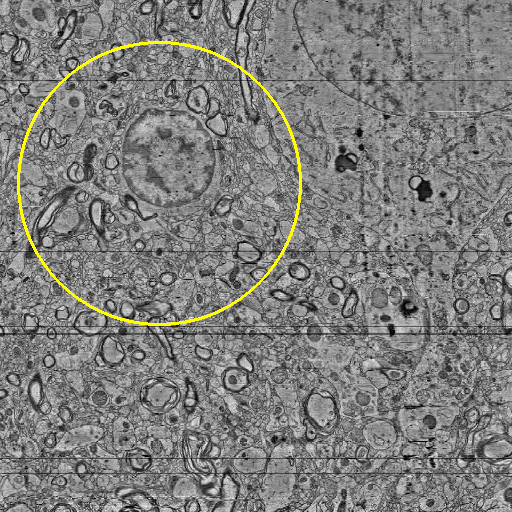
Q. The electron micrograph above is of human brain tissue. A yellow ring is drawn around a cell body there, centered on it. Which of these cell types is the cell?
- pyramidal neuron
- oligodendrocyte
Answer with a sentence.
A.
The cell under the ring's center is an oligodendrocyte.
